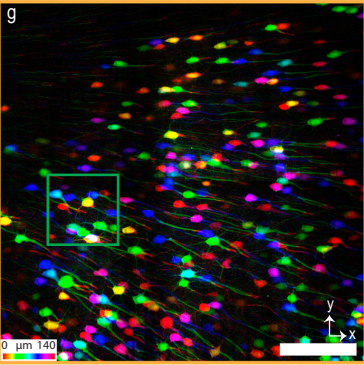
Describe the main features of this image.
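The somata are small, bright, round to triangular, and spaced apart from one another. Thin processes leave the cell bodies, many running roughly in one oblique direction across the field. The cell bodies lie more densely toward the lower left than the upper right.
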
